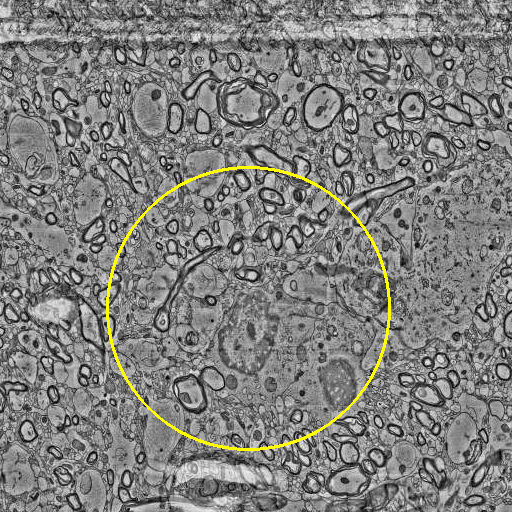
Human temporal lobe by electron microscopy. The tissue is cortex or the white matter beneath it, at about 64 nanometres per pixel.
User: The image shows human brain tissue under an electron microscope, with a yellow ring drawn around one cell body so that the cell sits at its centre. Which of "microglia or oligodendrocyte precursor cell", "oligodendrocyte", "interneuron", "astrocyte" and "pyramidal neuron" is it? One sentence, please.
At the centre of the ring sits an oligodendrocyte.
